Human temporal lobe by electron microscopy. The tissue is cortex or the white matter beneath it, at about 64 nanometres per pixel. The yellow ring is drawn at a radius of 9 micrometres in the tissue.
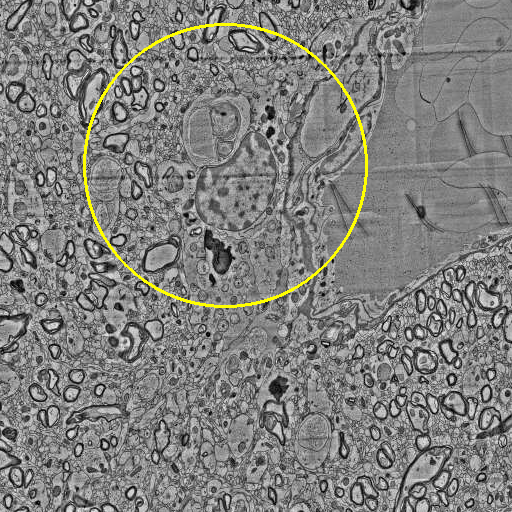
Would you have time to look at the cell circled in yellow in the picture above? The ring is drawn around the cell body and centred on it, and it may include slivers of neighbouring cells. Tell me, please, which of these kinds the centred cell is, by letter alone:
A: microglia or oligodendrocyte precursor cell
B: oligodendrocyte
A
